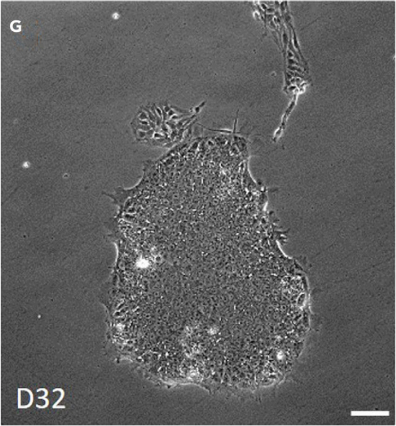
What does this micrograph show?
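A single large, established colony of stem-cell-like cells lies on an otherwise mostly empty culture surface in phase contrast. The colony is flat and compact, made of many small, tightly packed cells whose individual outlines are hard to separate. Its edge is sharp and well defined, appearing bright under phase contrast. A few scattered bright round bodies lie within and around the colony. Outside the colony, a small group of elongated, spindle-shaped cells extends toward the upper right, and a few isolated small round cells are scattered on the empty surface.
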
